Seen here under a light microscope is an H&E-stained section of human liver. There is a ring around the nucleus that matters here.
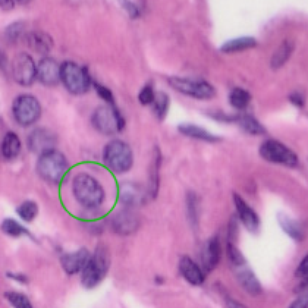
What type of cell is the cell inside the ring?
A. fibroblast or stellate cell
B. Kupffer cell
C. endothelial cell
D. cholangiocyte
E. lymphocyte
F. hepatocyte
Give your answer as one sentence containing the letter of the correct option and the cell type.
It is correct to say that the cell inside the ring is a cholangiocyte, as option D does.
